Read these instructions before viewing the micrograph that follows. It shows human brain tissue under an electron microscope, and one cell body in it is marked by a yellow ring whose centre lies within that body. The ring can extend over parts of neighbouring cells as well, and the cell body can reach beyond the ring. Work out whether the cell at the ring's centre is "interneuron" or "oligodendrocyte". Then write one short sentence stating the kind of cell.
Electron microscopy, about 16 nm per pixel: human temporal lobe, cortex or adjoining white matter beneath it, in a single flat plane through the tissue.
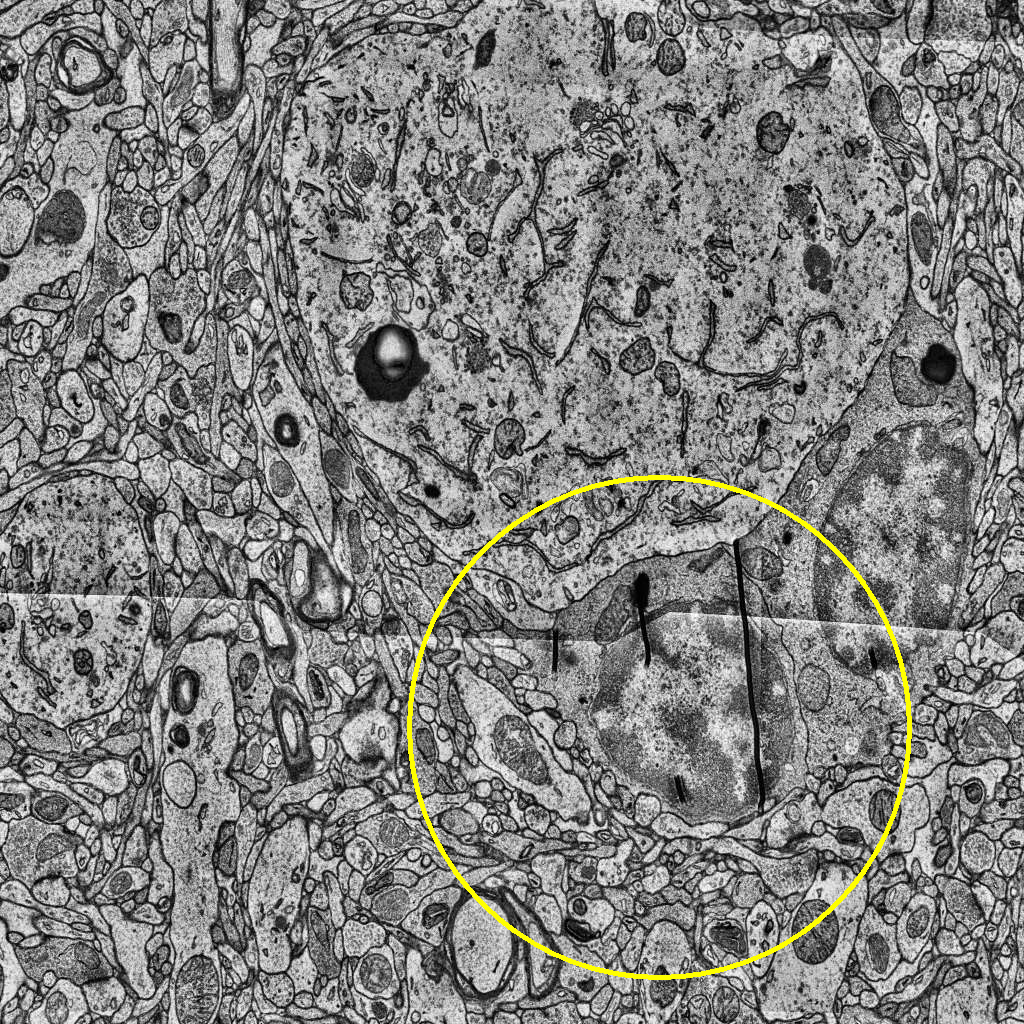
The cell at the ring's centre is an oligodendrocyte.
